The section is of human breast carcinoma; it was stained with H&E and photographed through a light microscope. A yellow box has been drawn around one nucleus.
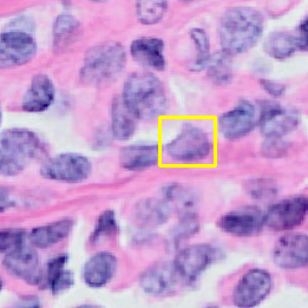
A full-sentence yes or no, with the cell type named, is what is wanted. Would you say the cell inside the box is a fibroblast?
No, the cell inside the box does not represent a fibroblast; it represents a carcinoma cell.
